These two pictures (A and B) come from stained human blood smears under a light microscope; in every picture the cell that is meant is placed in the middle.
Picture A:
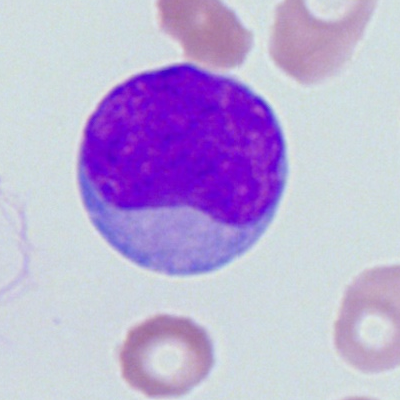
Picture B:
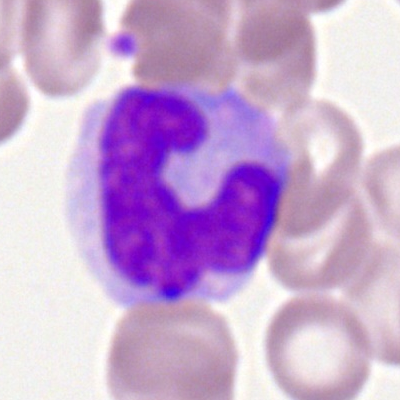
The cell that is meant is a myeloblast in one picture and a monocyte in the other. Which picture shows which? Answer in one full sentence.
Picture A shows a myeloblast and picture B shows a monocyte.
